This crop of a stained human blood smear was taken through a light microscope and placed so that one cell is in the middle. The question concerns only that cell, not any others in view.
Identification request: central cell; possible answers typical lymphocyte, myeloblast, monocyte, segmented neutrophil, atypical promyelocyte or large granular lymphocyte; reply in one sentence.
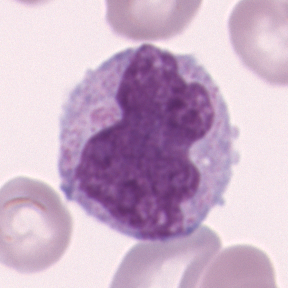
By type, the central cell of the crop is an atypical promyelocyte.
